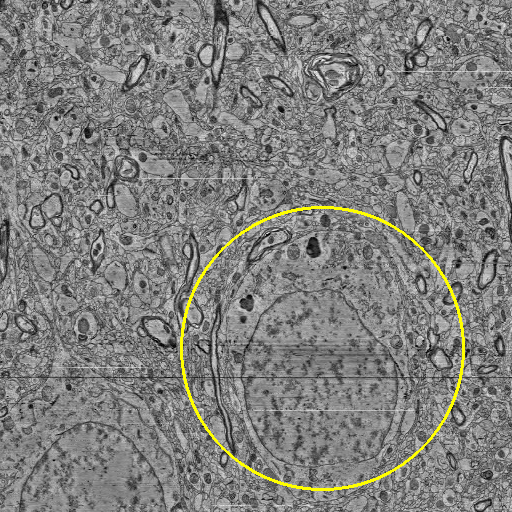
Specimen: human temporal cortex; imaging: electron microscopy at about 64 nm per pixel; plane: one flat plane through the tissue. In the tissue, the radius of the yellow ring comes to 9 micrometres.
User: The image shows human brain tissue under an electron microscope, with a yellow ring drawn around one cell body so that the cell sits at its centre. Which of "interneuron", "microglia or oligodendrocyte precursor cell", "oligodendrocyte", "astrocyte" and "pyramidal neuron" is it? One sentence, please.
At the centre of the ring sits a pyramidal neuron.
